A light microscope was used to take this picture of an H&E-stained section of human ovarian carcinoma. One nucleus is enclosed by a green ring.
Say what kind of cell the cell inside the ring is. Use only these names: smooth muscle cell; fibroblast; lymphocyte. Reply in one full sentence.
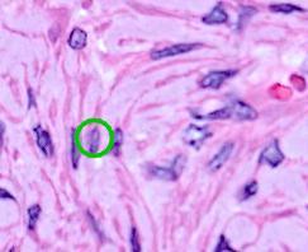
The expected answer is simply that the cell inside the ring is a fibroblast.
